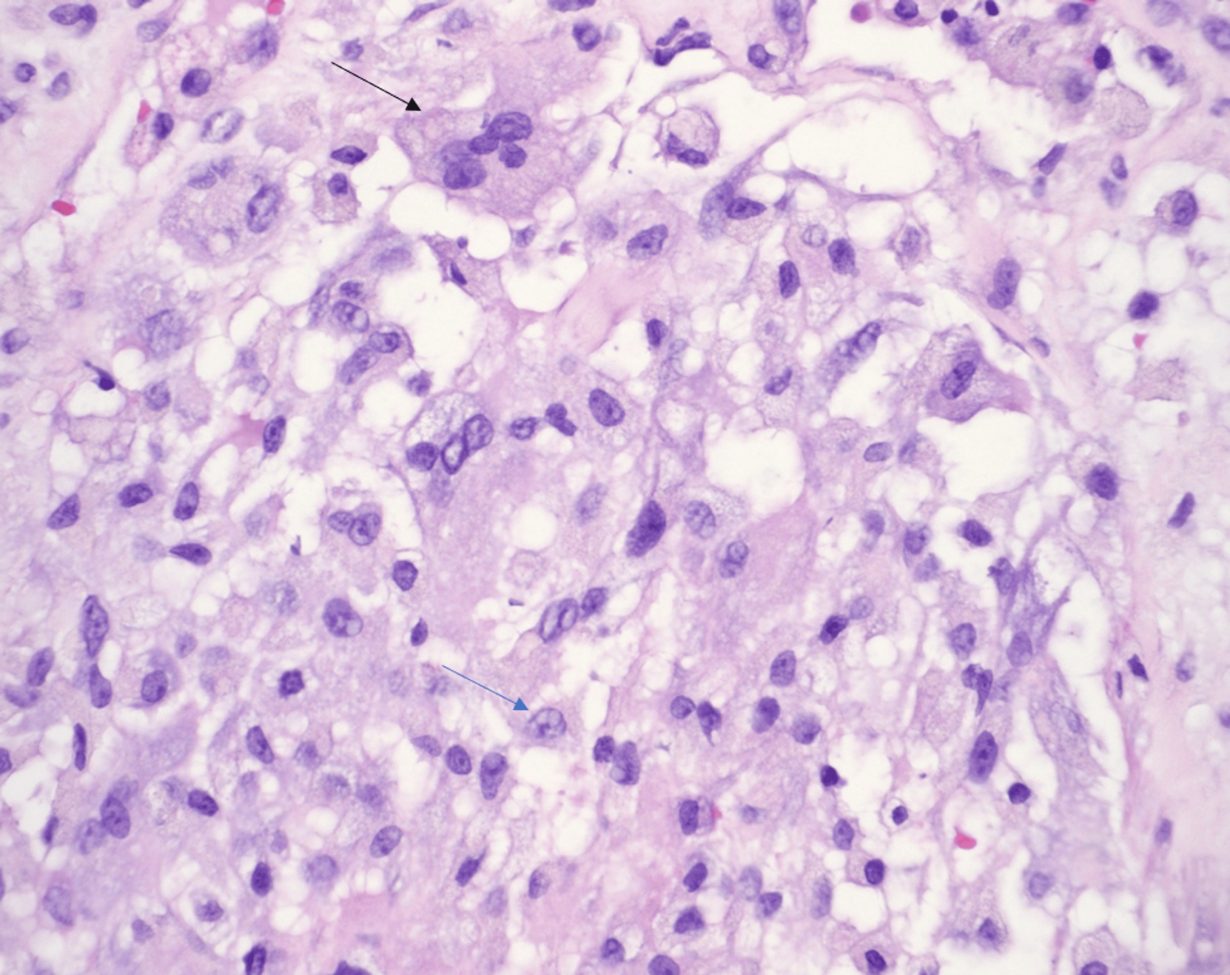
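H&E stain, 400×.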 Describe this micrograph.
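Sheets of large cells with abundant pale, finely bubbly cytoplasm and single oval nuclei crowd the field, set among clear empty spaces and scattered red blood cells. Here and there a larger cell holds several nuclei clustered together in one broad, pale cytoplasm. These are lipid-laden foamy histiocytes with interspersed multinucleated giant cells.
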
